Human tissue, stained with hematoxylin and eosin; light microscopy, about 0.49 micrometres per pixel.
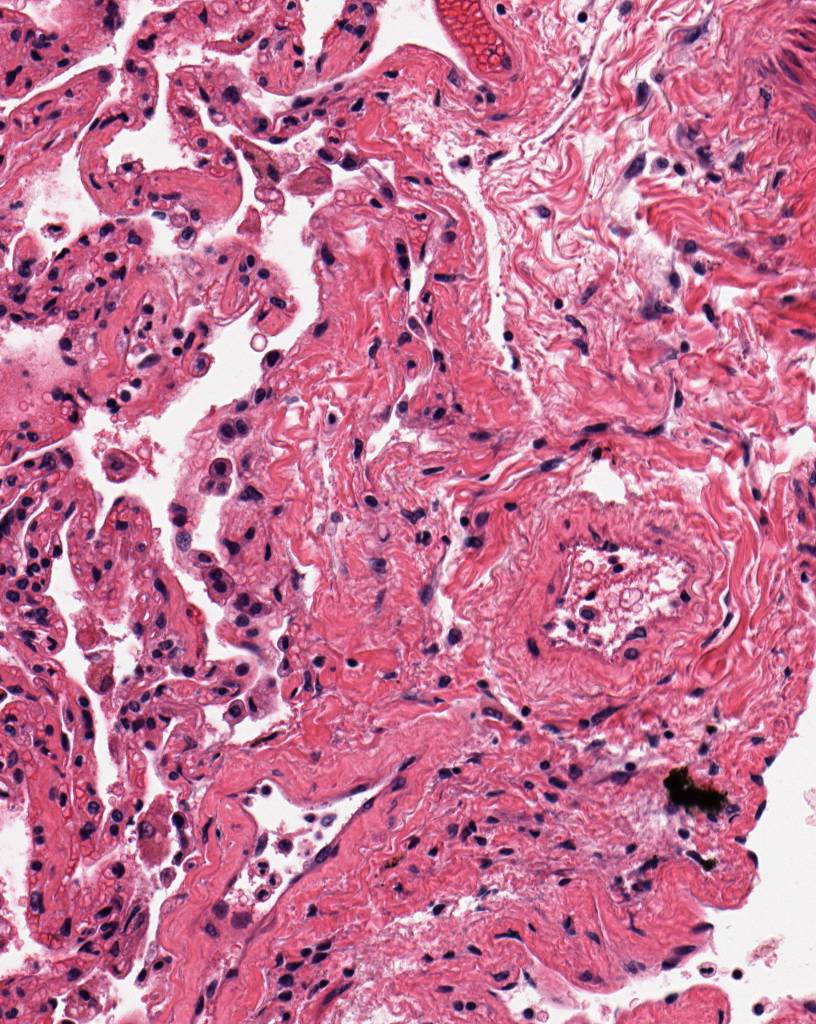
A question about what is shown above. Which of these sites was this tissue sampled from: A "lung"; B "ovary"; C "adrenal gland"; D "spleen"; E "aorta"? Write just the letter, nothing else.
A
